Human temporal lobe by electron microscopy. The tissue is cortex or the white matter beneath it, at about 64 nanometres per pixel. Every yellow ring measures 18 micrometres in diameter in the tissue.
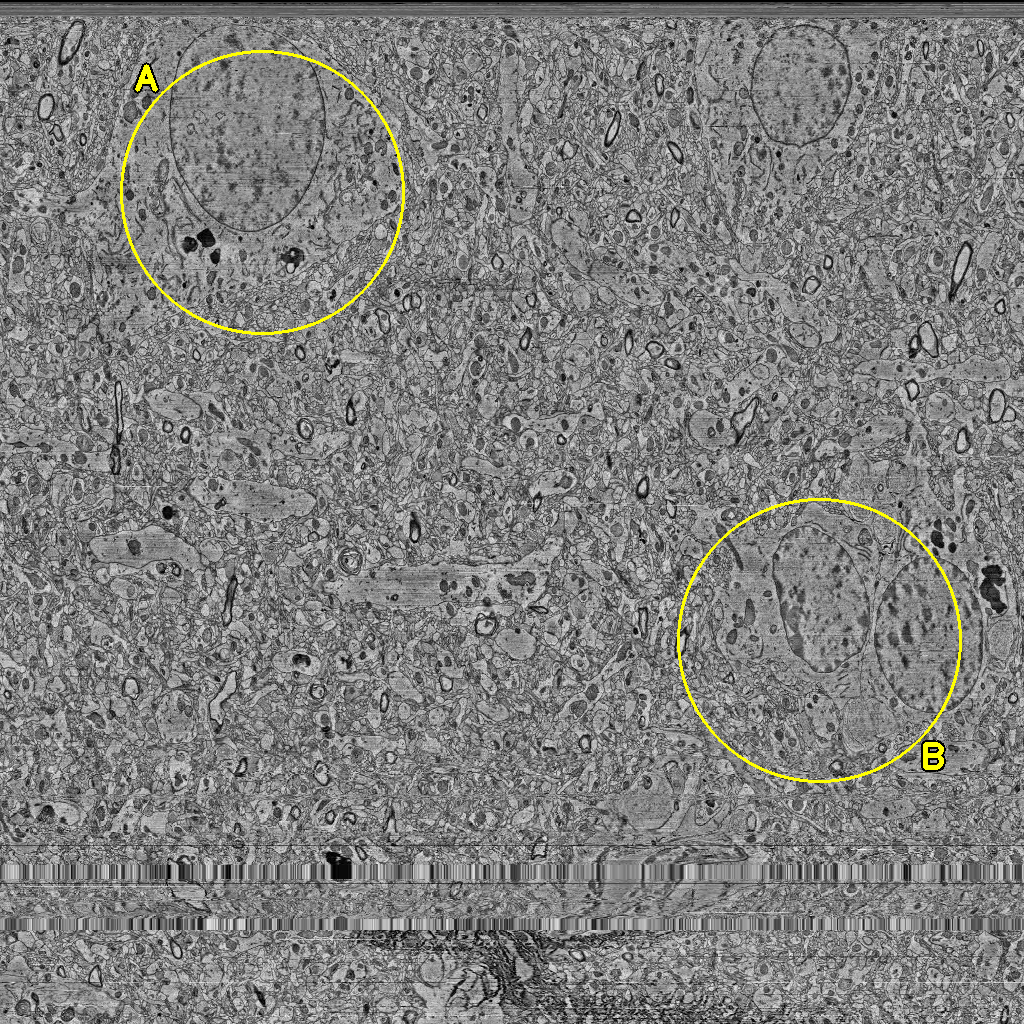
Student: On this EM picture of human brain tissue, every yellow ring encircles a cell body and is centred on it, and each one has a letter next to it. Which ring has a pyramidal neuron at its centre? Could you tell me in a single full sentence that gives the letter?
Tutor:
Ring A is the one drawn around the cell you are asking about.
